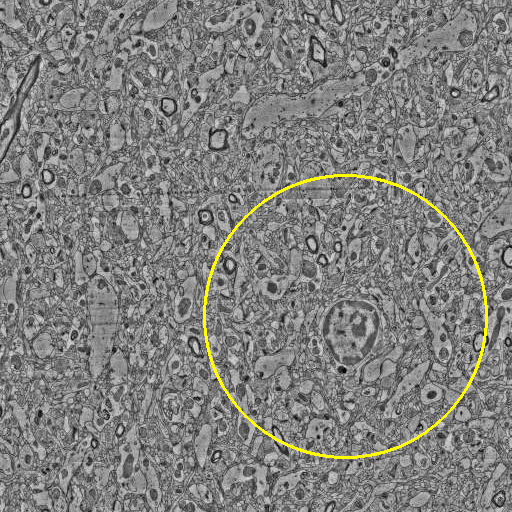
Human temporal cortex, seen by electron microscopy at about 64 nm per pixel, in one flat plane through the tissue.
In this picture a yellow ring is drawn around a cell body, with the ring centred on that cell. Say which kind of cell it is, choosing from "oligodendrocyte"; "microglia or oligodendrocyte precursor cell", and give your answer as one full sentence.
Here it is a microglial cell or oligodendrocyte precursor cell that sits at the centre of the drawn yellow ring.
